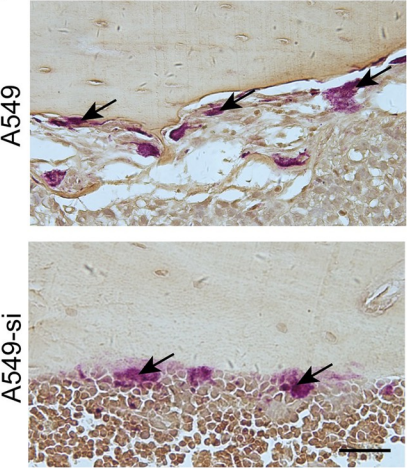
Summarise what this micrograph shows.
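The bone matrix appears as a pale beige field with faint lacunae. Along its lower edge sit several large, irregular cells stained a vivid purple-red; they are flattened against the bone surface, some lying in shallow hollows of the bone edge. Below them the tissue is brown and cellular in the upper image, while in the lower image small round reddish-brown cells crowd beneath the bone. The purple cells stand out clearly from everything around them by both colour and size.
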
